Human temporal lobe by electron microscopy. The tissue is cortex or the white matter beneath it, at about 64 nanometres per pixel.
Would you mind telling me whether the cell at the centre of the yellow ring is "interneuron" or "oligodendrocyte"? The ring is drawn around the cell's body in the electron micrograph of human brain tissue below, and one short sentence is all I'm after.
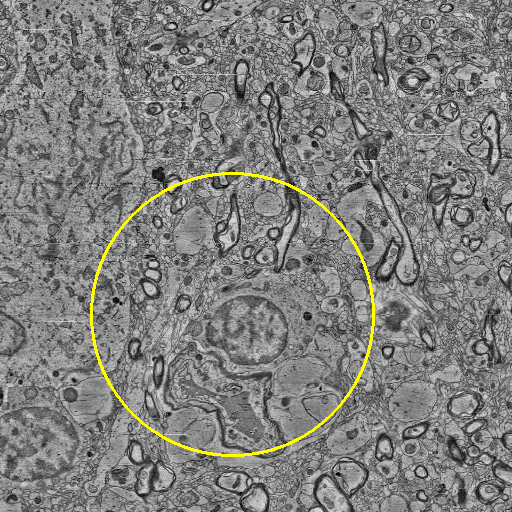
In the centre of the ring lies an oligodendrocyte.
